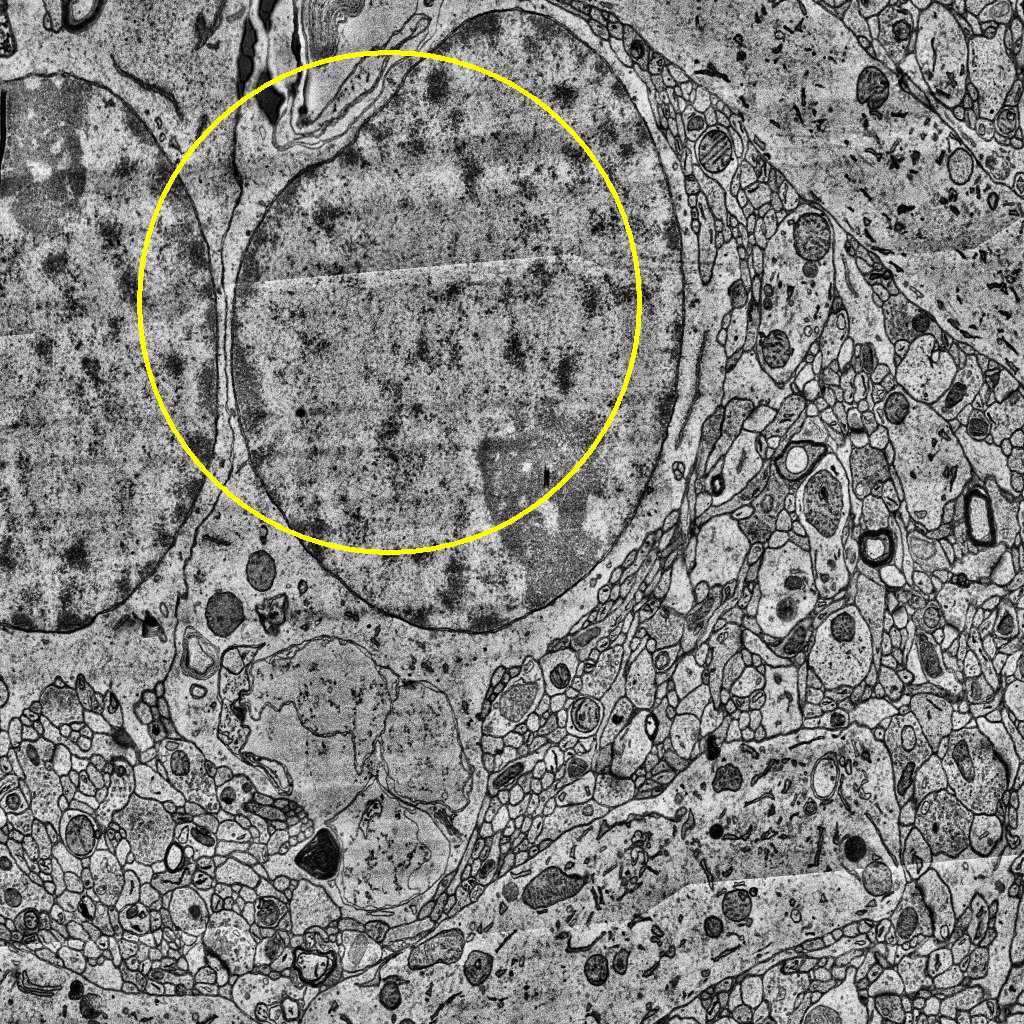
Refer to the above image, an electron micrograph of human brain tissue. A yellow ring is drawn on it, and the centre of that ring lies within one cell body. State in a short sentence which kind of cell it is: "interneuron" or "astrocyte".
The centre of the ring falls on an astrocyte.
